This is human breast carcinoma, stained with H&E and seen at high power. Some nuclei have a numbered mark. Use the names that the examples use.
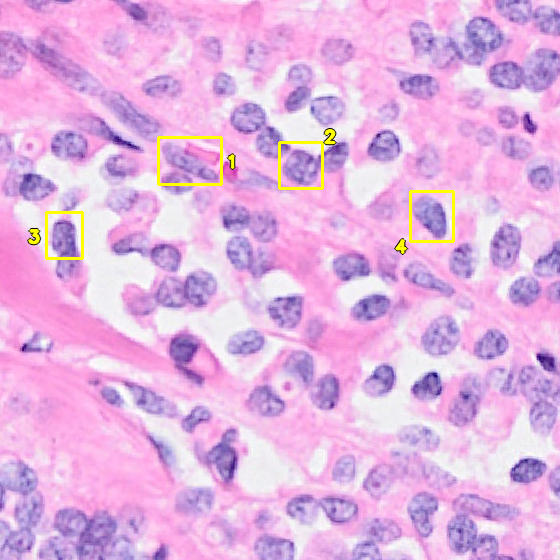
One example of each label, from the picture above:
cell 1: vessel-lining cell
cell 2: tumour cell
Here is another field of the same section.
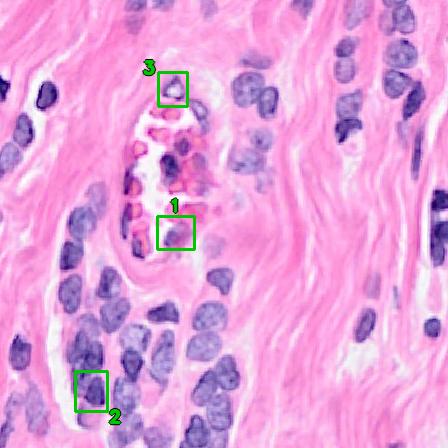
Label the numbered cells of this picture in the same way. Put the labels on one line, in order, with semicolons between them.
vessel-lining cell; tumour cell; vessel-lining cell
